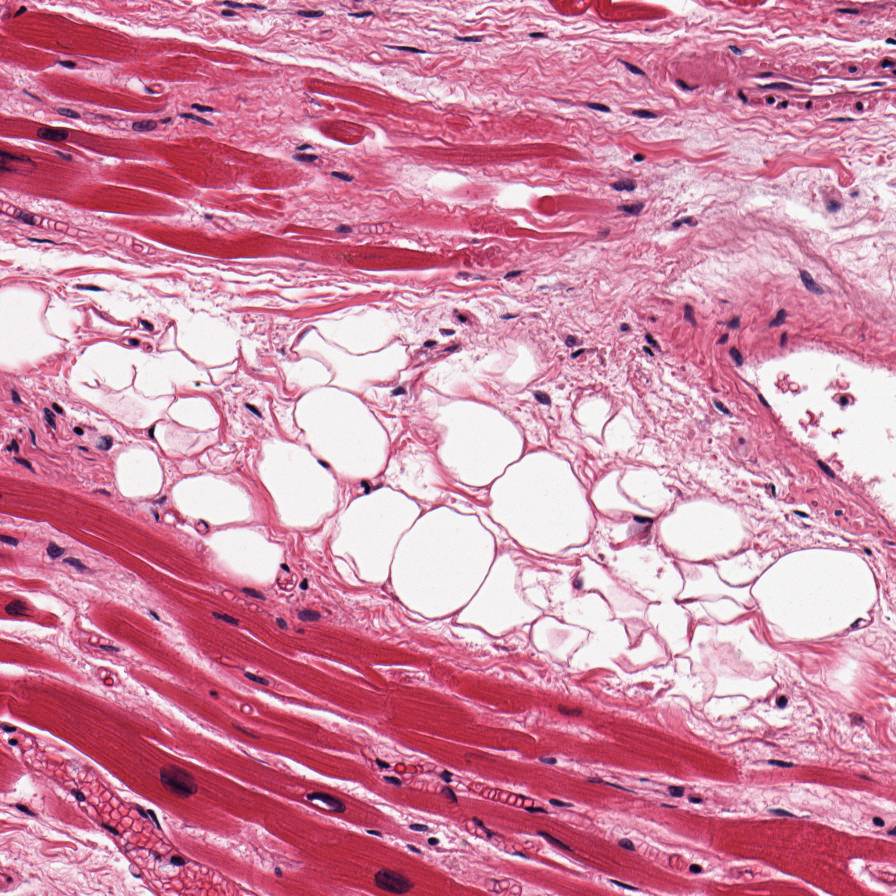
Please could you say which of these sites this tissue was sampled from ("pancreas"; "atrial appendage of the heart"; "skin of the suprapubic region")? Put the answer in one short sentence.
The site this tissue was sampled from is the atrial appendage of the heart.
